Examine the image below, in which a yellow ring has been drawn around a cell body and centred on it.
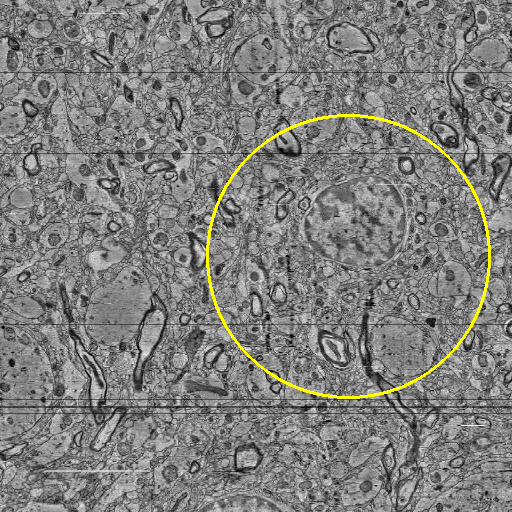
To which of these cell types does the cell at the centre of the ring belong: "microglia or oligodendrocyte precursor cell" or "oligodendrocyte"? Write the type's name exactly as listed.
microglia or oligodendrocyte precursor cell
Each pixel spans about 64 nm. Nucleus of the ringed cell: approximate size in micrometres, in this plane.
In this plane the nucleus is about 6 micrometres across.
